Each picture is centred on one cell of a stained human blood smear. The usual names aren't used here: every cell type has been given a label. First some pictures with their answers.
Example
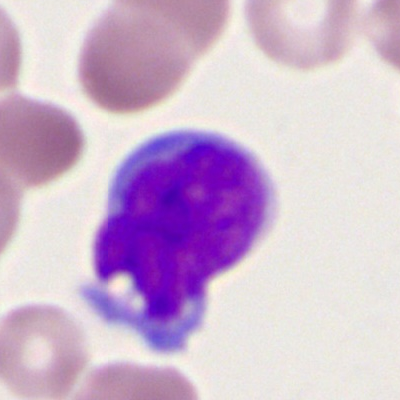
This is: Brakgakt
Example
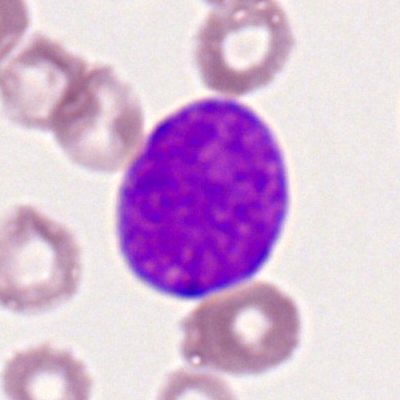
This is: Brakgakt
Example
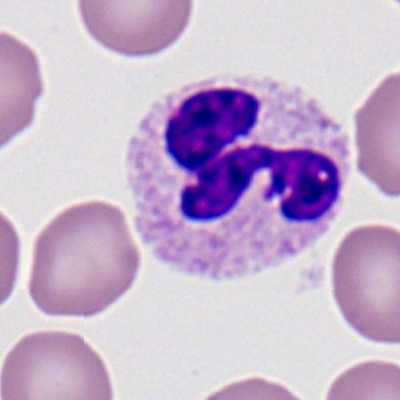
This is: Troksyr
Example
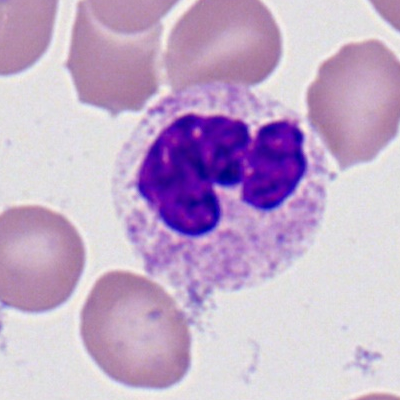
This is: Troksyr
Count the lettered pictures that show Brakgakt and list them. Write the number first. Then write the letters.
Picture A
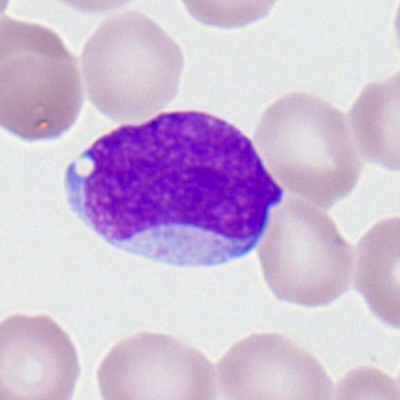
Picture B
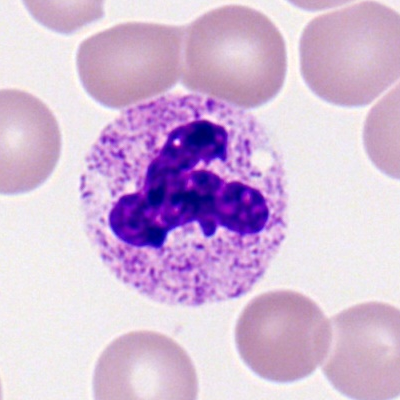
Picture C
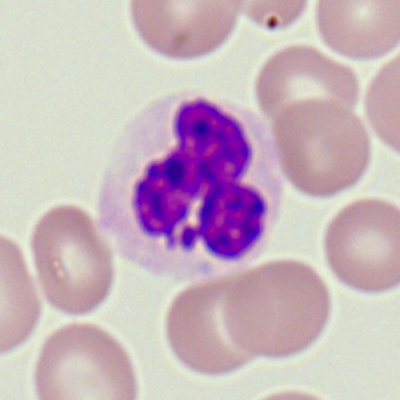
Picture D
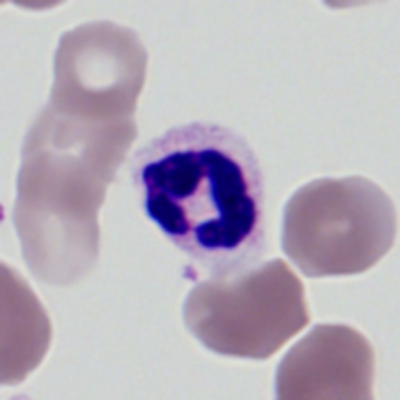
Count: 1 (A)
